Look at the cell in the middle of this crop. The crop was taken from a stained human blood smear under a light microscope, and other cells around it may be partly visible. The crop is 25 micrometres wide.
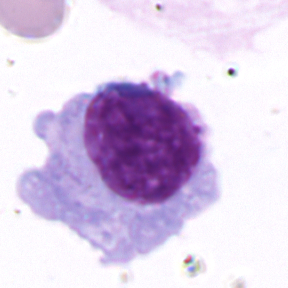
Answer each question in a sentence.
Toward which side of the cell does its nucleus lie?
The nucleus lies toward the upper right of the cell.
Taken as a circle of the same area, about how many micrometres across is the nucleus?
Taken as a circle, the nucleus has a diameter of about 10 micrometres.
